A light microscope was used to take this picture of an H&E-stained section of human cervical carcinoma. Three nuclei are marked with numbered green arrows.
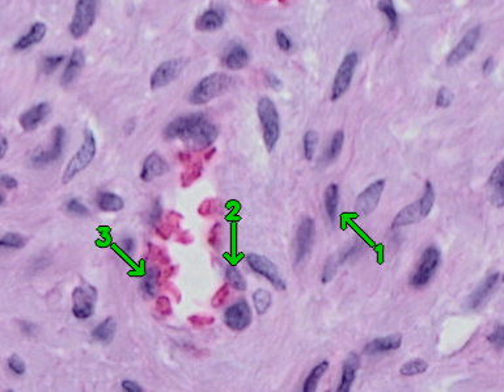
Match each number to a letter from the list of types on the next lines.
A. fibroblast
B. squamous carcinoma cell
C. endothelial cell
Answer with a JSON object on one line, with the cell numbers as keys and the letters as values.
{"1": "A", "2": "C", "3": "C"}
